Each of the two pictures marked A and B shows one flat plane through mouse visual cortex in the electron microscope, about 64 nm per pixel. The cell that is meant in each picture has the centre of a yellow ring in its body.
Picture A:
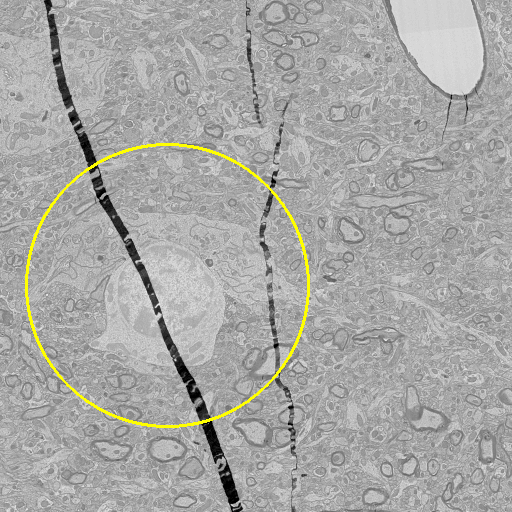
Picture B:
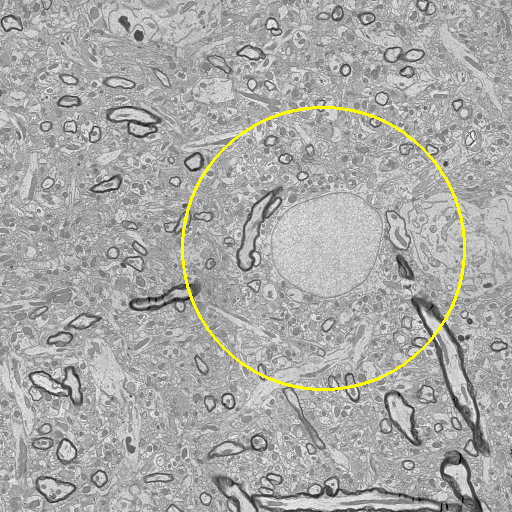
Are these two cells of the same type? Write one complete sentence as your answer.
No. Picture A shows an oligodendrocyte, but picture B shows an astrocyte.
